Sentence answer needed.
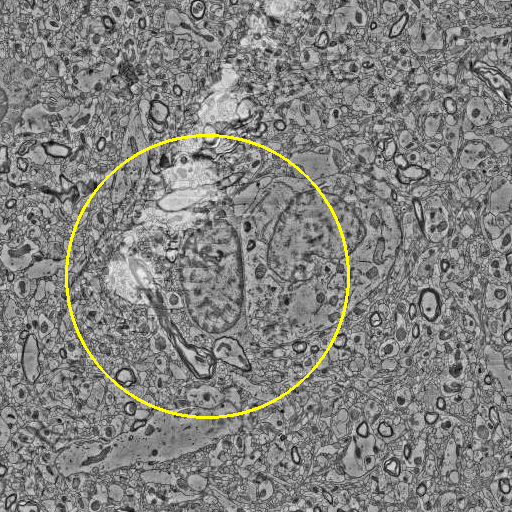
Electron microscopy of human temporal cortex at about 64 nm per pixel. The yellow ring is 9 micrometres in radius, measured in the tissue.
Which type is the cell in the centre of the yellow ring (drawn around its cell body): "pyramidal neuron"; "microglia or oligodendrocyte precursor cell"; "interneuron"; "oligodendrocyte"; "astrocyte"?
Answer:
In the centre of the yellow ring is an oligodendrocyte.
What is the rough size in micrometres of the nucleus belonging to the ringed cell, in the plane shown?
The nucleus measures about 7 by 4 micrometres in this plane.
